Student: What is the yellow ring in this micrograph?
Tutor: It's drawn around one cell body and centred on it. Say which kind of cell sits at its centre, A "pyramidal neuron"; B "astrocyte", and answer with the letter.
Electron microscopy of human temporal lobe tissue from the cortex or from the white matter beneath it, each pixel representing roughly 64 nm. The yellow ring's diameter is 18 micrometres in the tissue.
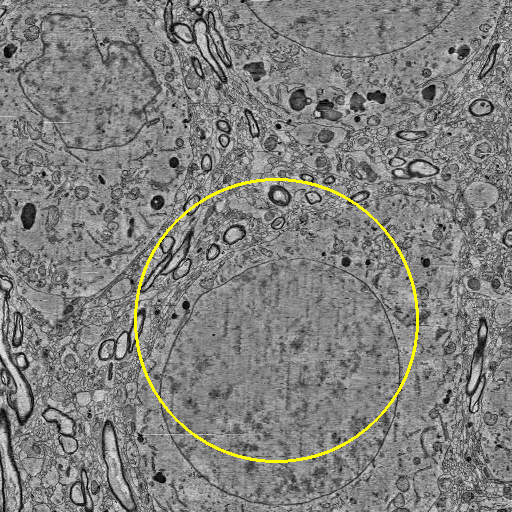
A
